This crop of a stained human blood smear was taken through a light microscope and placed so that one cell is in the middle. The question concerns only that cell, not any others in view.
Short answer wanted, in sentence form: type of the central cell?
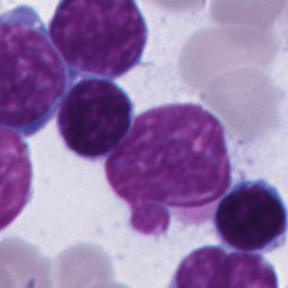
The cell the crop is centered on is a myeloblast.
